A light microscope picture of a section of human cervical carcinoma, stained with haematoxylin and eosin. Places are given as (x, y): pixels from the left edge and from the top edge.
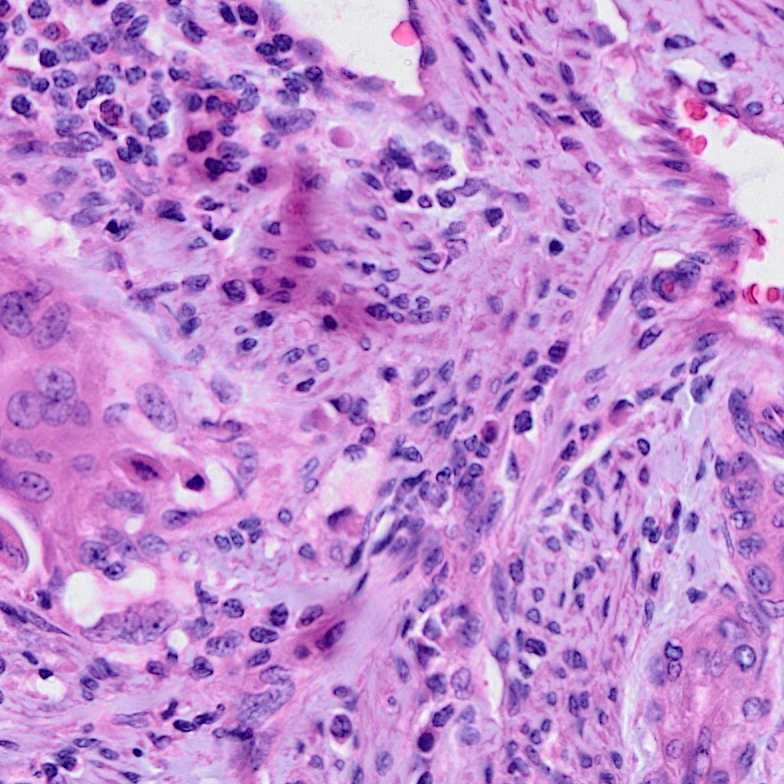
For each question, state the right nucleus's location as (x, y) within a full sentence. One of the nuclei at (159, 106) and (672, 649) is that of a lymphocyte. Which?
In this pair, the nucleus at (159, 106) belongs to a lymphocyte.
